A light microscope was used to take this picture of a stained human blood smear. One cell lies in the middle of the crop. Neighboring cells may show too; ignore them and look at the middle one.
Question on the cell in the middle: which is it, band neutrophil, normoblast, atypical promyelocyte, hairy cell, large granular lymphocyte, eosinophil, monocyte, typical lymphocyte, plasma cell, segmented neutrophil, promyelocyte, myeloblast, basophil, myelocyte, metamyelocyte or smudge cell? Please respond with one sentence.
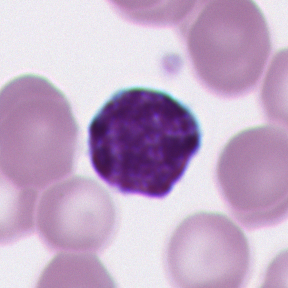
This crop has a typical lymphocyte at its centre.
